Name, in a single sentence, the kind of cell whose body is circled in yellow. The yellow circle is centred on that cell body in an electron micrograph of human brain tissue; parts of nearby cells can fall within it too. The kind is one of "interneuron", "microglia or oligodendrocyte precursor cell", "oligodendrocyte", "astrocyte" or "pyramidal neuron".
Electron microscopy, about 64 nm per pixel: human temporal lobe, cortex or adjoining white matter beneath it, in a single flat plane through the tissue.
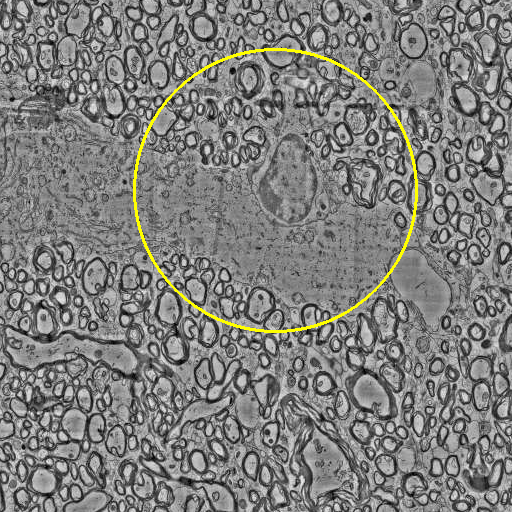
The circled cell body belongs to a microglial cell or oligodendrocyte precursor cell.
